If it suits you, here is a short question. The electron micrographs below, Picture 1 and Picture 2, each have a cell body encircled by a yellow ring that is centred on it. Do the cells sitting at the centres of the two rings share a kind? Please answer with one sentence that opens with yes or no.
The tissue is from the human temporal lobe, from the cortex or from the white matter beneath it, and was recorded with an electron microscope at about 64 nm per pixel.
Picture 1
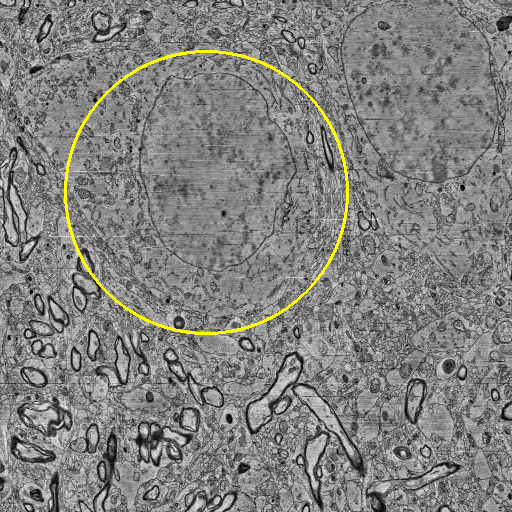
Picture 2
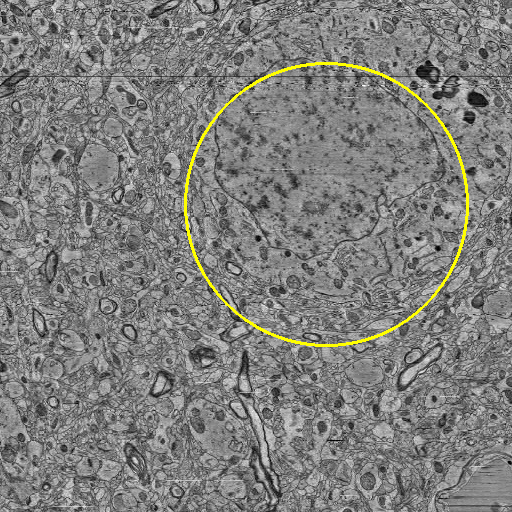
Yes, the two cells sitting at the ring centres share a single kind.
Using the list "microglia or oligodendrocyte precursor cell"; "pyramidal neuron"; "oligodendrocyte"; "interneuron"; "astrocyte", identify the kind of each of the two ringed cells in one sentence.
In the first picture and in the second, the ring is centred on a pyramidal neuron.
